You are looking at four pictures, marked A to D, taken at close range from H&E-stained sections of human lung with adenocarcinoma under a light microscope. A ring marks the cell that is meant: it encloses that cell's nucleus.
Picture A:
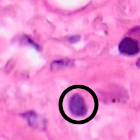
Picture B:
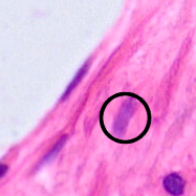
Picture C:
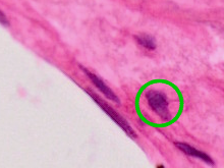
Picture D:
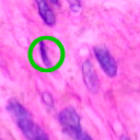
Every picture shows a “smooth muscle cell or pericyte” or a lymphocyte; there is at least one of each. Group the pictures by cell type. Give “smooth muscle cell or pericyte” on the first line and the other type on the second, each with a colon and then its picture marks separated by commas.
smooth muscle cell or pericyte: B, C, D
lymphocyte: A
